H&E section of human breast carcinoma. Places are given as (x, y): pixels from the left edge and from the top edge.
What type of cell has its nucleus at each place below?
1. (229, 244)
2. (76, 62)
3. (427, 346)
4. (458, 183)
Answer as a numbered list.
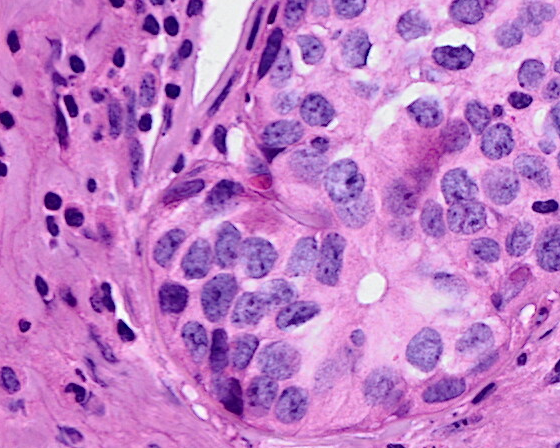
1. carcinoma cell
2. lymphocyte
3. carcinoma cell
4. carcinoma cell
